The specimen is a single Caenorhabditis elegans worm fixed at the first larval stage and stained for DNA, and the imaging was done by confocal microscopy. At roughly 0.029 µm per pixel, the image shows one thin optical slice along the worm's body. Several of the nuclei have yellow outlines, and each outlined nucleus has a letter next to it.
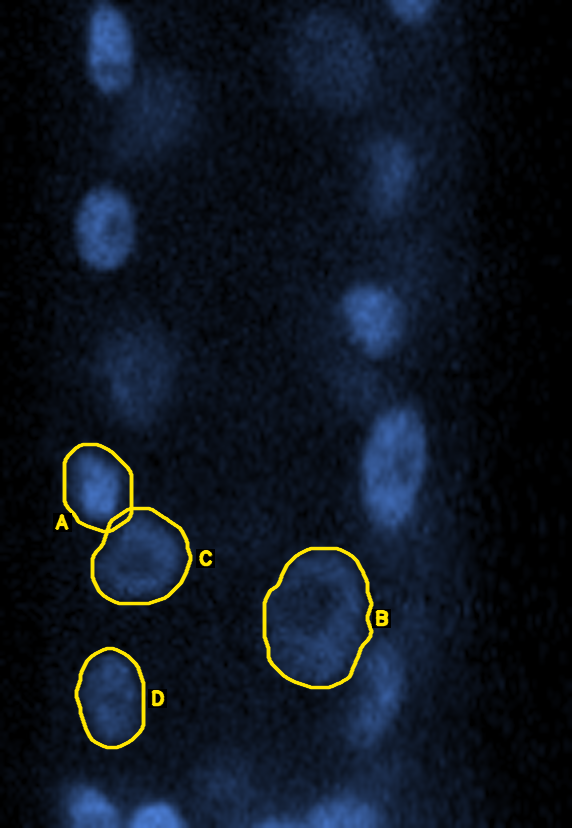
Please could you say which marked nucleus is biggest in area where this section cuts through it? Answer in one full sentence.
Nucleus B covers the most area here.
